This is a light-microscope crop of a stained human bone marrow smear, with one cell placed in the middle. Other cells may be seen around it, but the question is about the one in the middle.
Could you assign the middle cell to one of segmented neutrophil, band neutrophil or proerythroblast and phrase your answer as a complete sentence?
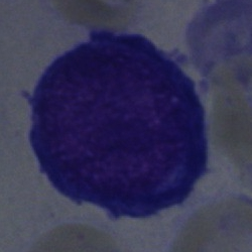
For this crop, the central cell is a proerythroblast.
